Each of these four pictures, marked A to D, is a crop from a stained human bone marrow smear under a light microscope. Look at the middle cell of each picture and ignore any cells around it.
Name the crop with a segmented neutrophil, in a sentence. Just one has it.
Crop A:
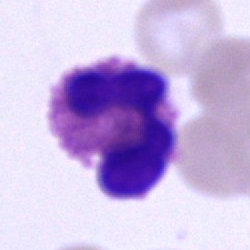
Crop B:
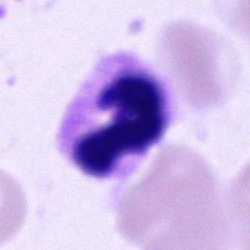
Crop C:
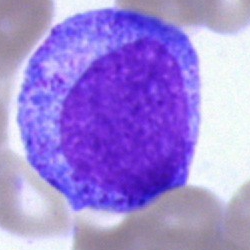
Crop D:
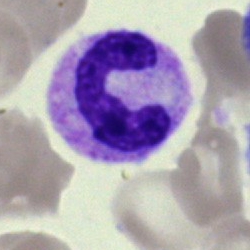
Crop B, and no other, shows a segmented neutrophil.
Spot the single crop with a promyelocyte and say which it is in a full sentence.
The one crop that shows a promyelocyte is crop C.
